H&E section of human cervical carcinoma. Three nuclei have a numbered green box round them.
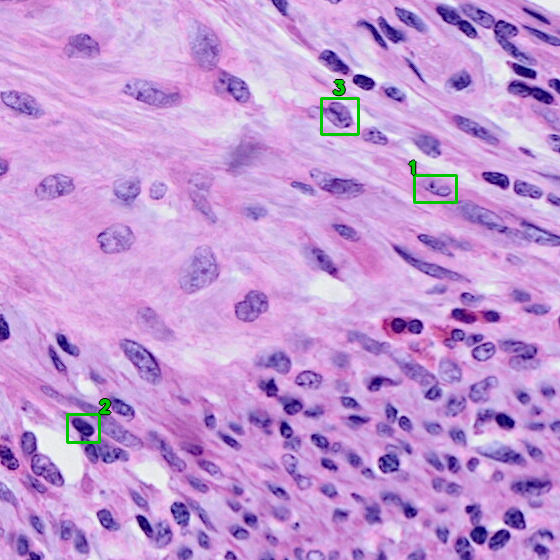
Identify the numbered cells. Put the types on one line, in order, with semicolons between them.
endothelial cell; lymphocyte; macrophage or monocyte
